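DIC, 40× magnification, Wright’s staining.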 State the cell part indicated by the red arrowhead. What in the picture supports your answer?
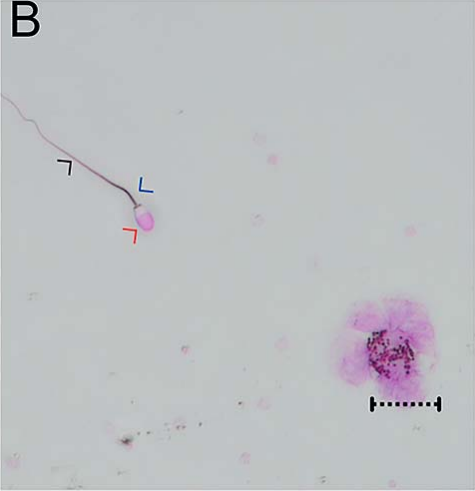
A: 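The red arrowhead points to a small oval pale pink body at one end of a long thin thread. The answer: head.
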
